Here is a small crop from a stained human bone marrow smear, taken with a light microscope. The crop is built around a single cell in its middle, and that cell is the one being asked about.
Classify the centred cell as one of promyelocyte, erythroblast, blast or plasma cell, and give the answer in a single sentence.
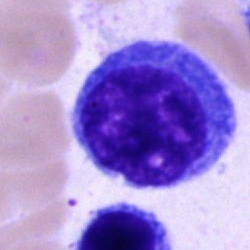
Standing at the centre of this crop is a blast.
